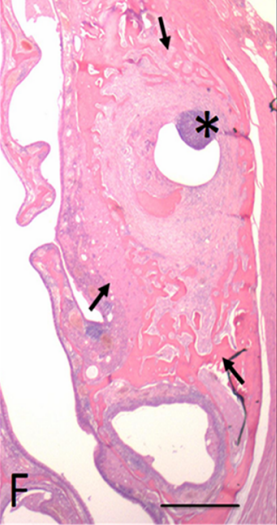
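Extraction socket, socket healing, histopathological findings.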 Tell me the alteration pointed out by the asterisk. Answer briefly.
Inflammatory cell infiltration.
